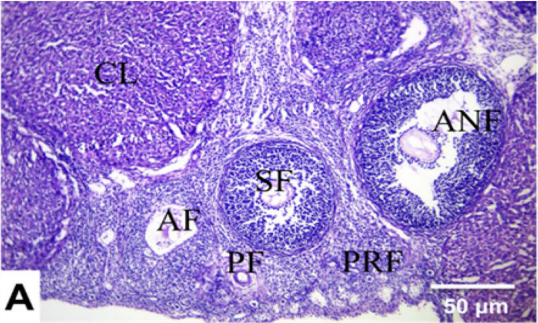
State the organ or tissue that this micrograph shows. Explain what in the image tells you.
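Many round follicles of different sizes lie in a cellular stroma. Follicles show multilayered granulosa cells around a central oocyte or fluid-filled antrum. The answer: ovaries.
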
